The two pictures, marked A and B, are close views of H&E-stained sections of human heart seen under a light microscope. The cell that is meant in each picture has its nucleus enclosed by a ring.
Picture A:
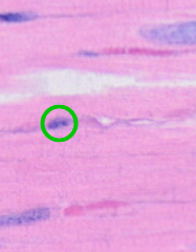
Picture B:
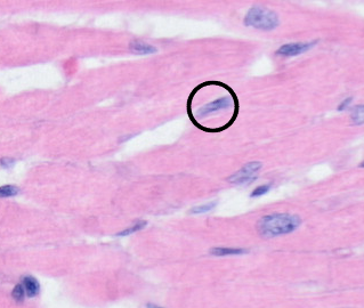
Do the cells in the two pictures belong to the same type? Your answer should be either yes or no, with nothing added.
yes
